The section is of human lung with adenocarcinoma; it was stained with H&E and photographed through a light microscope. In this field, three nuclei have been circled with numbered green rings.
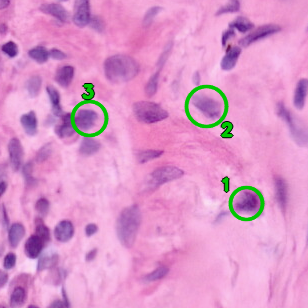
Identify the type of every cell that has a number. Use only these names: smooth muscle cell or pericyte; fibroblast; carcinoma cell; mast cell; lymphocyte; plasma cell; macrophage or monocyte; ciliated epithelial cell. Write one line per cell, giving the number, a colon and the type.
1: plasma cell
2: fibroblast
3: lymphocyte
